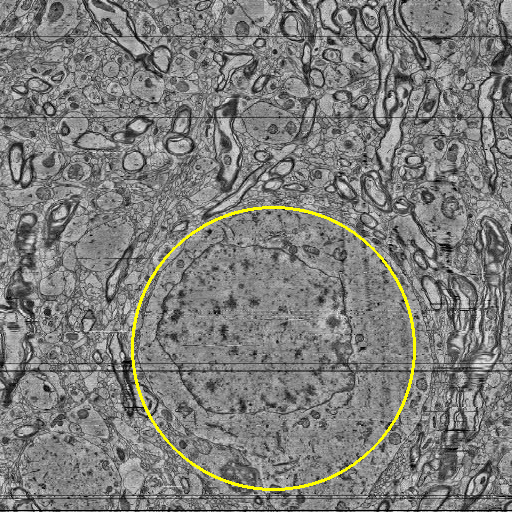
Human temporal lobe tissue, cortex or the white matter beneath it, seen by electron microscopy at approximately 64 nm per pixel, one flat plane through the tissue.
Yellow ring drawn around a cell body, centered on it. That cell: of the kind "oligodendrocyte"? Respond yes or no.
no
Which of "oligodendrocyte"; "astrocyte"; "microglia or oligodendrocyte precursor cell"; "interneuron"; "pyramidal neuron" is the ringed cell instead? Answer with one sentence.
At the centre of the ring sits a pyramidal neuron.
